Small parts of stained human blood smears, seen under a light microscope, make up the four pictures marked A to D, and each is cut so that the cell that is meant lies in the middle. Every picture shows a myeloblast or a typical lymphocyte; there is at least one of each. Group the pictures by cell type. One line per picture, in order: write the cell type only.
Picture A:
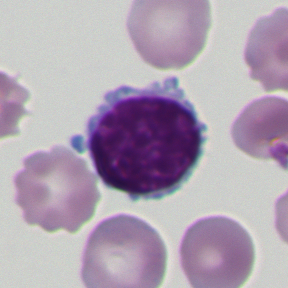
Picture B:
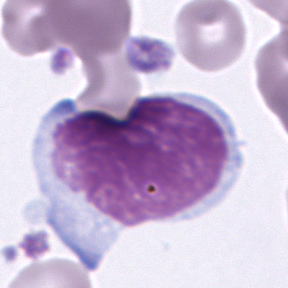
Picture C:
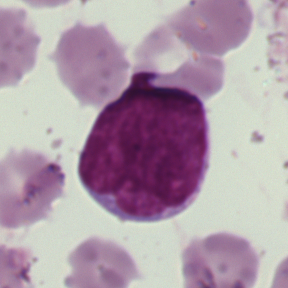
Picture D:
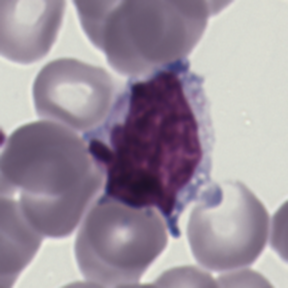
typical lymphocyte
typical lymphocyte
myeloblast
typical lymphocyte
